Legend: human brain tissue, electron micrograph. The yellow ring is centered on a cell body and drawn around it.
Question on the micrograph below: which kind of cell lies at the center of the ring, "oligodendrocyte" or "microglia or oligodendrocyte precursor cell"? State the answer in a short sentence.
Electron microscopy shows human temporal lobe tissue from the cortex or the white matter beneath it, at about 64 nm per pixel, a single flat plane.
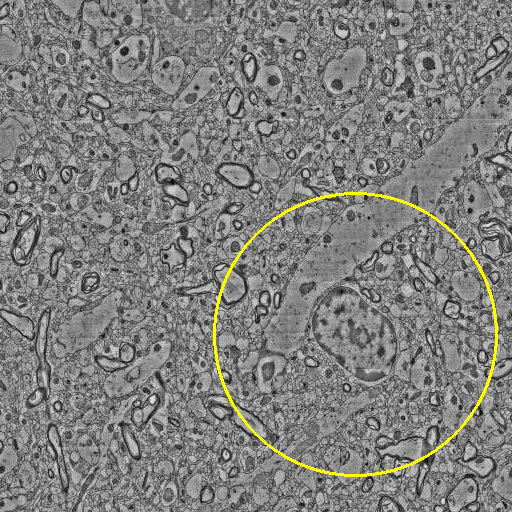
At the center of the ring lies a microglial cell or oligodendrocyte precursor cell.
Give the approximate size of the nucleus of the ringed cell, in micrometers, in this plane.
The nucleus appears roughly 6 by 5 micrometres in this plane.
